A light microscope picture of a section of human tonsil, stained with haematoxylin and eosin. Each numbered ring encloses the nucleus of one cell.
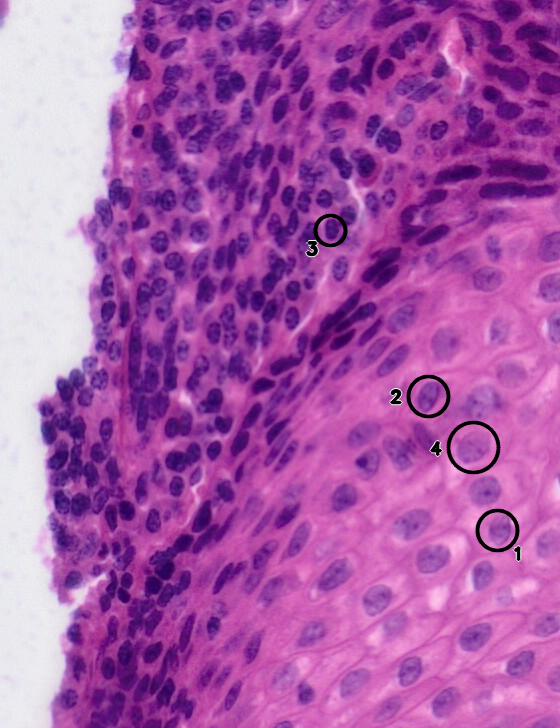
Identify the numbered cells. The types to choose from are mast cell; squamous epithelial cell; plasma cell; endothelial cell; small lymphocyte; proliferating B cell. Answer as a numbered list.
1. squamous epithelial cell
2. squamous epithelial cell
3. plasma cell
4. squamous epithelial cell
